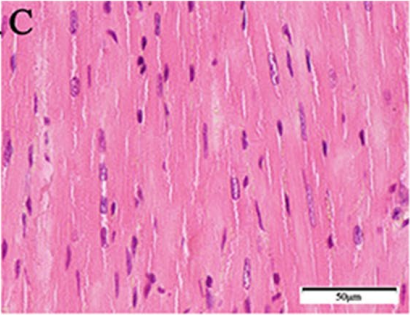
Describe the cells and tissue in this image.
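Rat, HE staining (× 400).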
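Cardiac muscle in longitudinal section, with cardiomyocytes forming long parallel pink fibres. The nuclei are purple, elongated and oval, lying centrally within the fibres. Narrow pale clefts separate neighbouring fibres, and a few slender, darker nuclei sit between them.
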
